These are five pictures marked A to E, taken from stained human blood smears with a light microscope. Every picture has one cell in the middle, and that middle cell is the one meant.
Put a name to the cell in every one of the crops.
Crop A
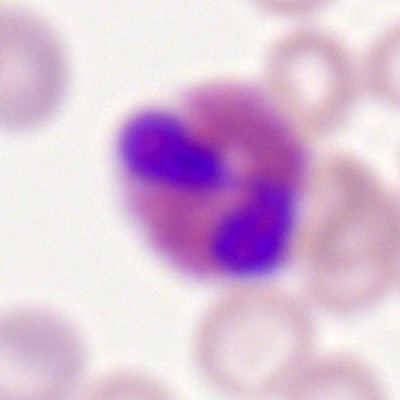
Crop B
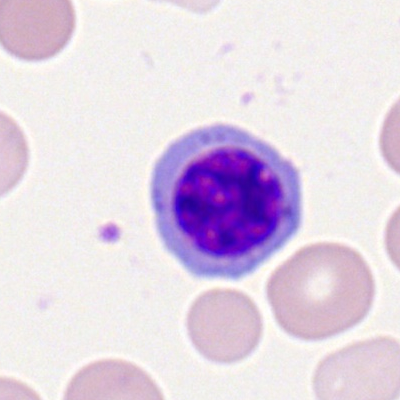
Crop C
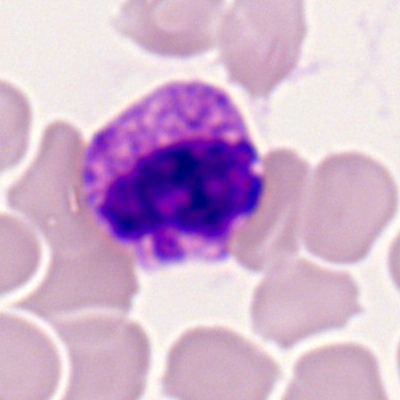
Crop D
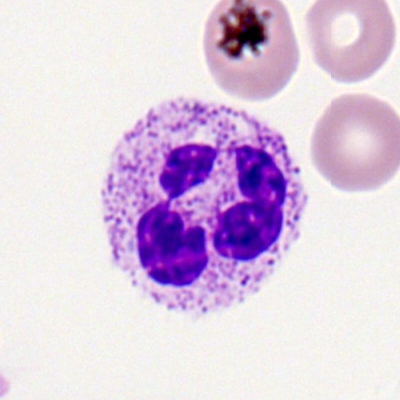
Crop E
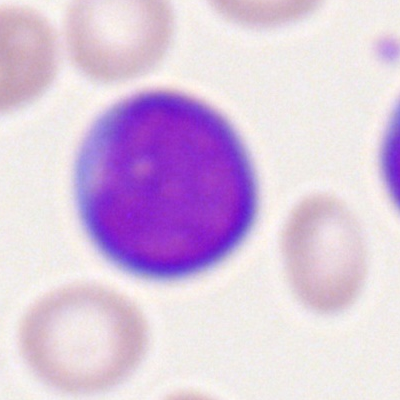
A: eosinophil
B: normoblast
C: basophil
D: neutrophil
E: myeloblast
